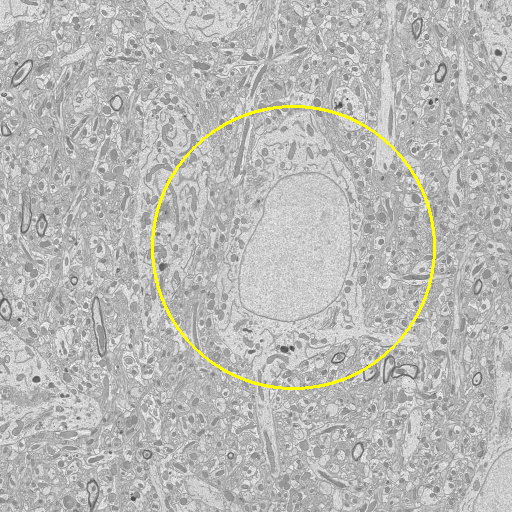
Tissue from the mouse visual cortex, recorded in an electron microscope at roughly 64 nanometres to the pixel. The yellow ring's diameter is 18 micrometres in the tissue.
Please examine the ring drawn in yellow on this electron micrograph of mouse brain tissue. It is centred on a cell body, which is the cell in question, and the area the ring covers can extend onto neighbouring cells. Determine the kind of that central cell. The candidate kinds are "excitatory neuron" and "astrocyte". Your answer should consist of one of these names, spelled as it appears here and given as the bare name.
excitatory neuron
